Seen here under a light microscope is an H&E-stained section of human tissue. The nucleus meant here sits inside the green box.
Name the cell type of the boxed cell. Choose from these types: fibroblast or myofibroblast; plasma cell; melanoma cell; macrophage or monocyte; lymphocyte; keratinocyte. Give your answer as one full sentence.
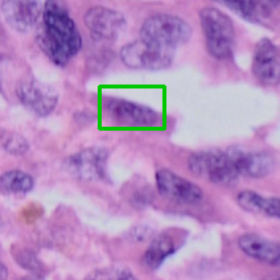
The classification of the boxed cell is as a melanoma cell.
